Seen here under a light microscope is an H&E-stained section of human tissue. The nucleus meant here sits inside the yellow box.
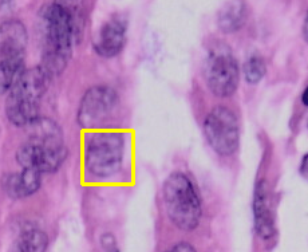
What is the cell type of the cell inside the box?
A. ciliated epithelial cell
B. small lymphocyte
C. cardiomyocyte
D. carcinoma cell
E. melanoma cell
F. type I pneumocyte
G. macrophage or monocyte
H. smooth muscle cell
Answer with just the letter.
E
